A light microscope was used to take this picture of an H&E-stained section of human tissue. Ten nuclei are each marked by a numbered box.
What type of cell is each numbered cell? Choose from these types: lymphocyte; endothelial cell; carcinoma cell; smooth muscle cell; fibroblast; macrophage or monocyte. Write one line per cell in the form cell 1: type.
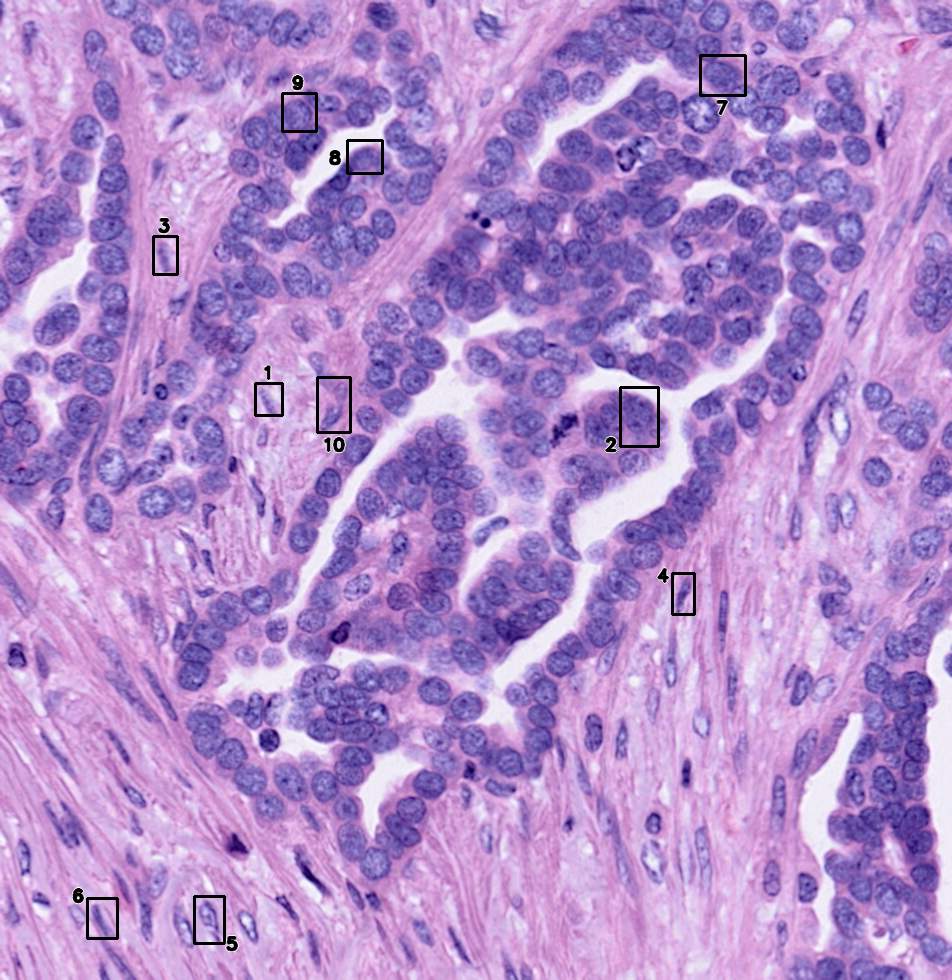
cell 1: fibroblast
cell 2: carcinoma cell
cell 3: fibroblast
cell 4: fibroblast
cell 5: fibroblast
cell 6: fibroblast
cell 7: carcinoma cell
cell 8: carcinoma cell
cell 9: carcinoma cell
cell 10: fibroblast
